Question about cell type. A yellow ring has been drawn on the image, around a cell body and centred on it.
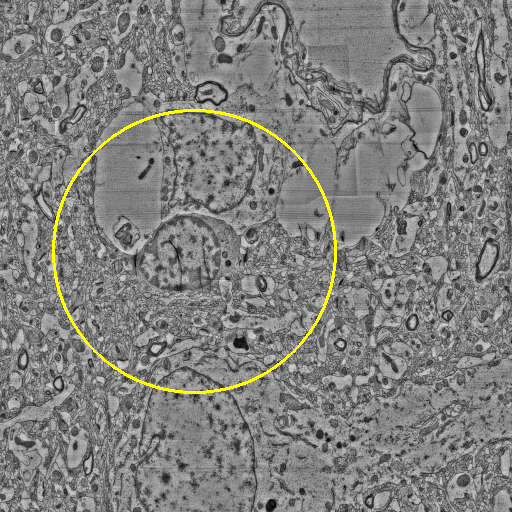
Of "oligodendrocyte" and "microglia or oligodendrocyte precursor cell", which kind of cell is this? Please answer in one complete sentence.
At the centre of the ring lies an oligodendrocyte.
